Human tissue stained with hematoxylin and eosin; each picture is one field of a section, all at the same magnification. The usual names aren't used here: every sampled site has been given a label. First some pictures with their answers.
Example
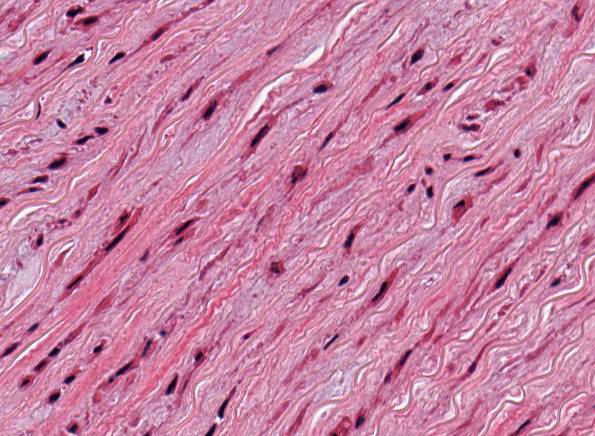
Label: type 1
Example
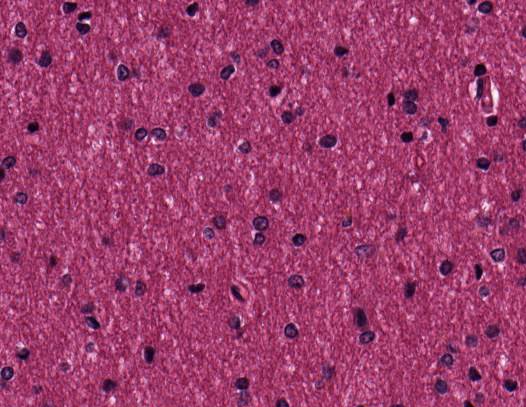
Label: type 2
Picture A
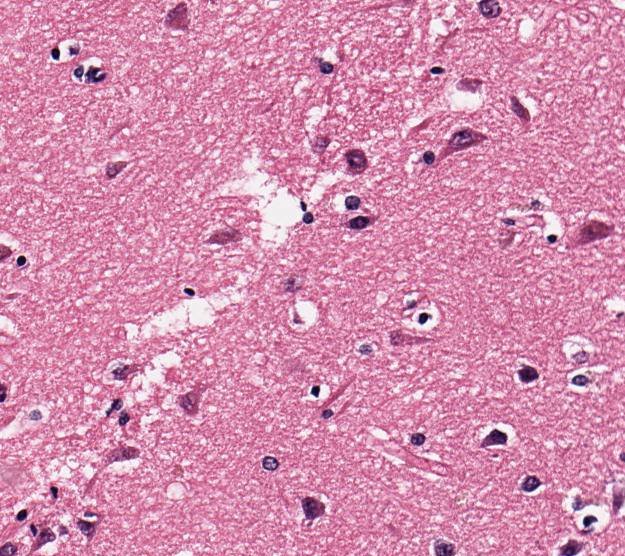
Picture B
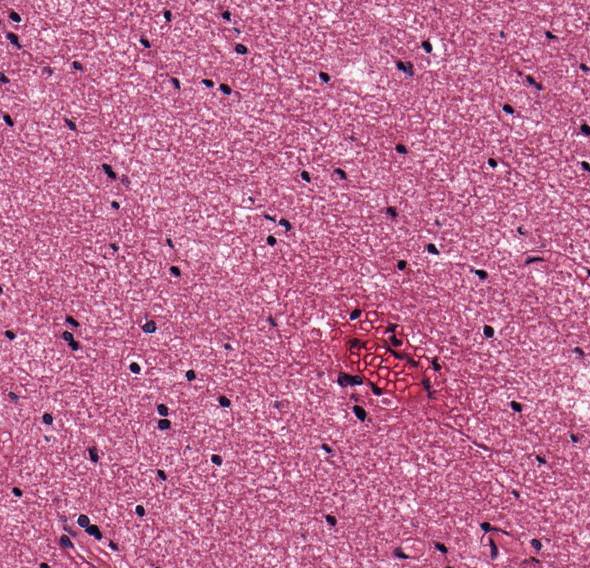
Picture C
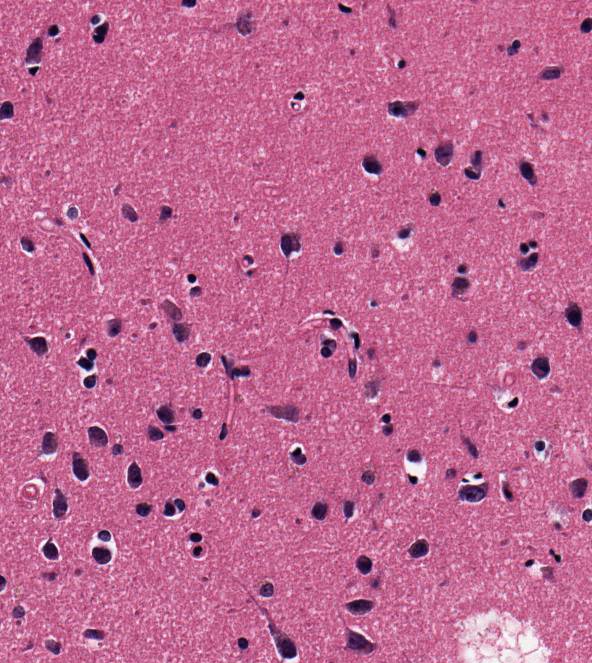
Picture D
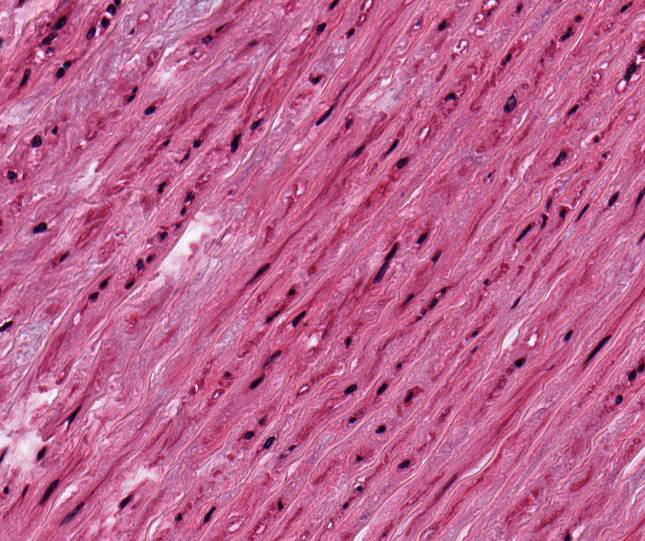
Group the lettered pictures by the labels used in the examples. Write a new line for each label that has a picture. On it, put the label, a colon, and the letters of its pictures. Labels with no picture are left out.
type 1: D
type 2: A, B, C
